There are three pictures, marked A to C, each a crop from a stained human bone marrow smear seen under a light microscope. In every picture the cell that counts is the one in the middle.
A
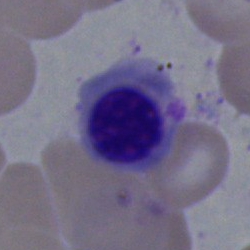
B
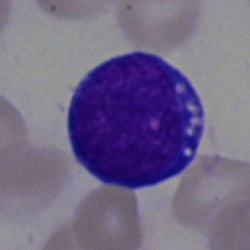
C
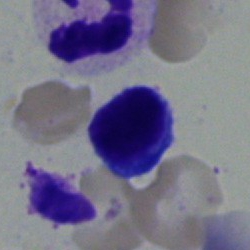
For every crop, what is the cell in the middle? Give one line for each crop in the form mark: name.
A: erythroblast
B: blast
C: lymphocyte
